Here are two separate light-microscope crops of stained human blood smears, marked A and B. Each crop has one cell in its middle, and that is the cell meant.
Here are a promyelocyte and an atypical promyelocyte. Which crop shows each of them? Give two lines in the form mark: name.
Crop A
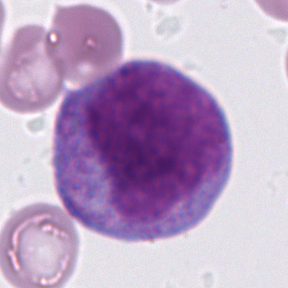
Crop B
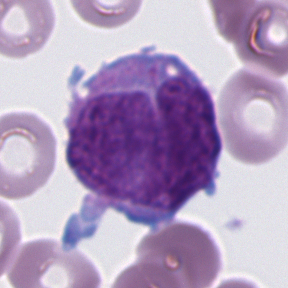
A: promyelocyte
B: atypical promyelocyte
